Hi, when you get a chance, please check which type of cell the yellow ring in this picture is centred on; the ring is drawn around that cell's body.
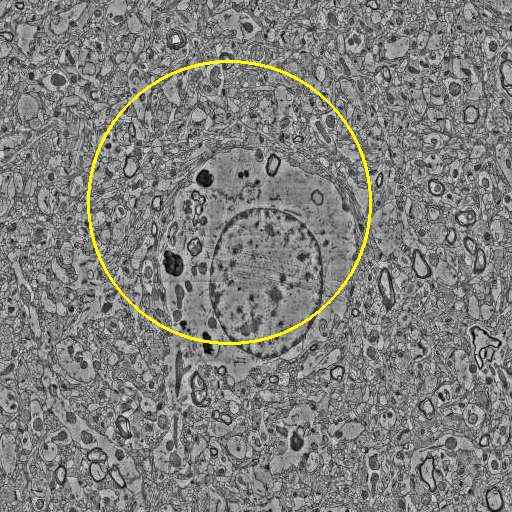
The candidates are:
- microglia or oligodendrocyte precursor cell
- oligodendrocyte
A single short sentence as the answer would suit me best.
The ring is drawn around the body of a microglial cell or oligodendrocyte precursor cell.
